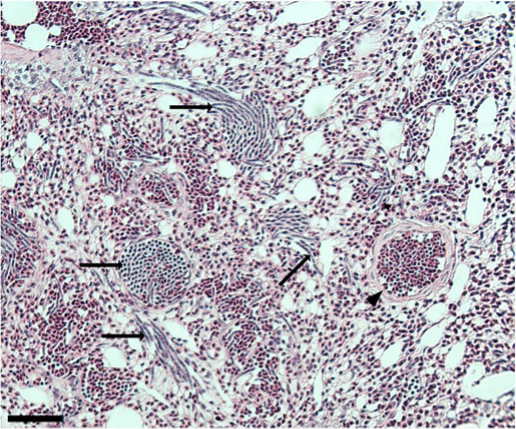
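Lung tissue with many small pale air spaces separated by septa crowded with oval nucleated red blood cells. Several bundles of slender, wavy, parallel threadlike larvae lie in the tissue, some cut across as round clusters of fine profiles, others lengthwise as streams. On the right a round vessel with a pale pink layered wall is filled with red blood cells. The threadlike bundles are microfilariae, and the pink ring is an arteriole wall.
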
